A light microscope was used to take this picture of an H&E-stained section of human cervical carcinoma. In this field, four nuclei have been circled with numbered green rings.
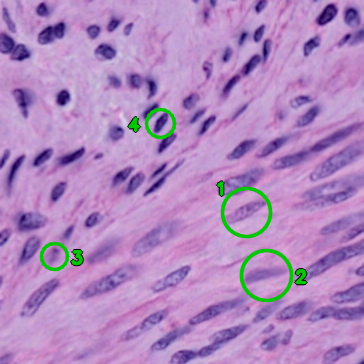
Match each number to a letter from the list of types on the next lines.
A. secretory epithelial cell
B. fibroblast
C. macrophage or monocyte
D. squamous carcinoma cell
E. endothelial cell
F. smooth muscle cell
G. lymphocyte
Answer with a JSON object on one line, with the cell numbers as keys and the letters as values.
{"1": "F", "2": "F", "3": "F", "4": "B"}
